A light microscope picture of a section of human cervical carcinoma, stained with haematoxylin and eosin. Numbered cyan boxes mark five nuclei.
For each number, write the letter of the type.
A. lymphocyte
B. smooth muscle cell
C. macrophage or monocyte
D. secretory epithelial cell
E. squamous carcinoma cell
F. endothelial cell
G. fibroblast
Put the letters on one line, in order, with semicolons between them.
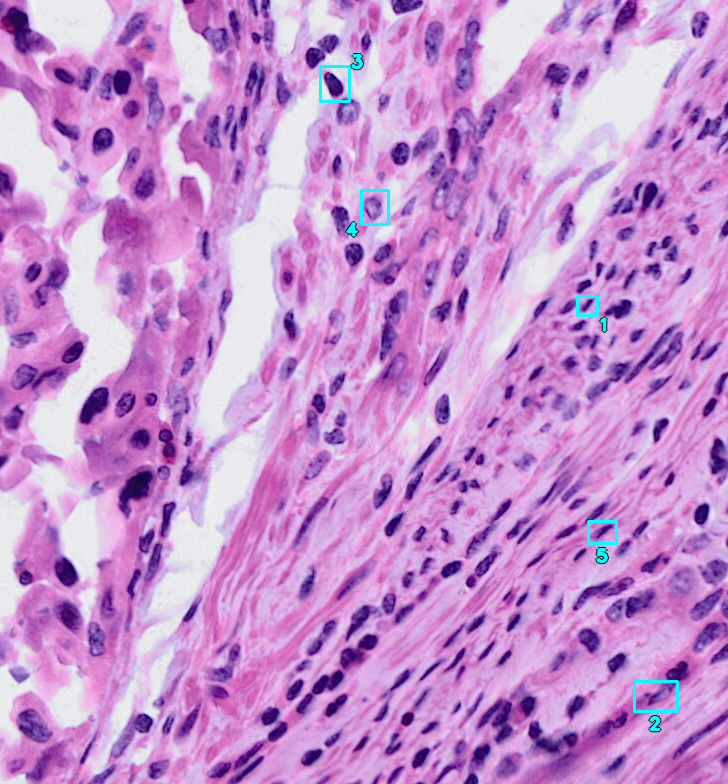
G; F; A; C; G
